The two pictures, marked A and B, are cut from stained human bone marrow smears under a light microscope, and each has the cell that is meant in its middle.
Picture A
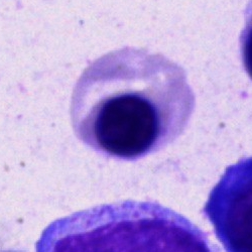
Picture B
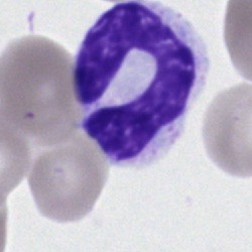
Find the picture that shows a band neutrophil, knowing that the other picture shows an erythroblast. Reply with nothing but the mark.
B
